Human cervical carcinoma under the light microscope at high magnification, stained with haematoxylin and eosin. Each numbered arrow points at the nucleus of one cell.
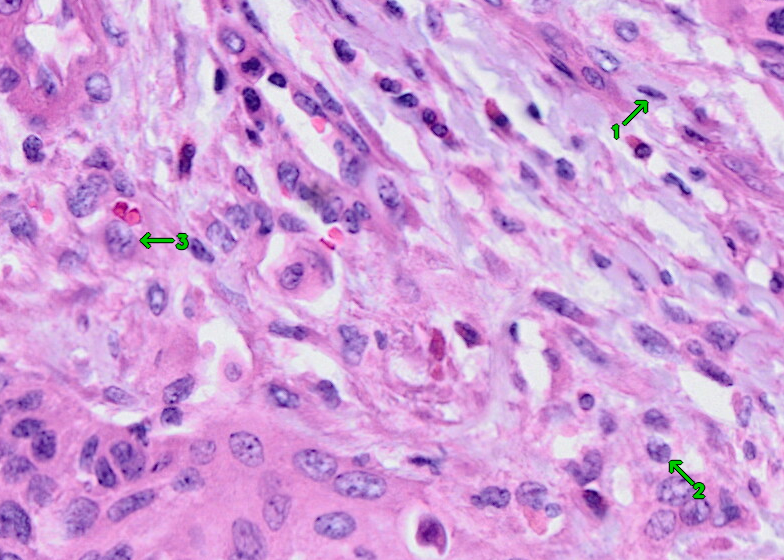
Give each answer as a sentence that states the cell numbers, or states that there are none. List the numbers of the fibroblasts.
The one cell that is a fibroblast is cell 1, and no other.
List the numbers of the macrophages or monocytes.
Cell 2 is a macrophage or monocyte; the remaining numbered cells are not.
